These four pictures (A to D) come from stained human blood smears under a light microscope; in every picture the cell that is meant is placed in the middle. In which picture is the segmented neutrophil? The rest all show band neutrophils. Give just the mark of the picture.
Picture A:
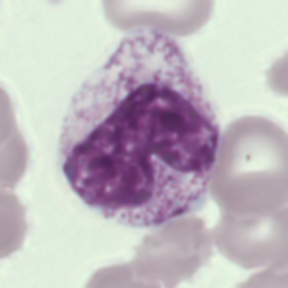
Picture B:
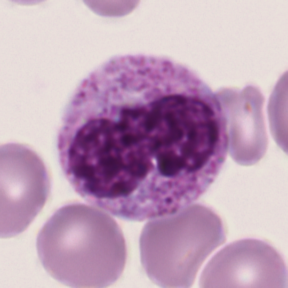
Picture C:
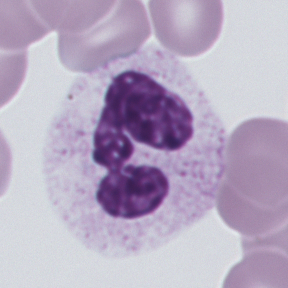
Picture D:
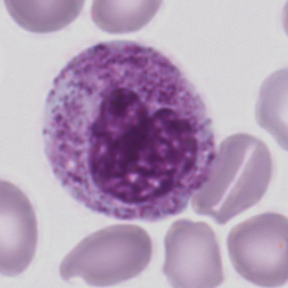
C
